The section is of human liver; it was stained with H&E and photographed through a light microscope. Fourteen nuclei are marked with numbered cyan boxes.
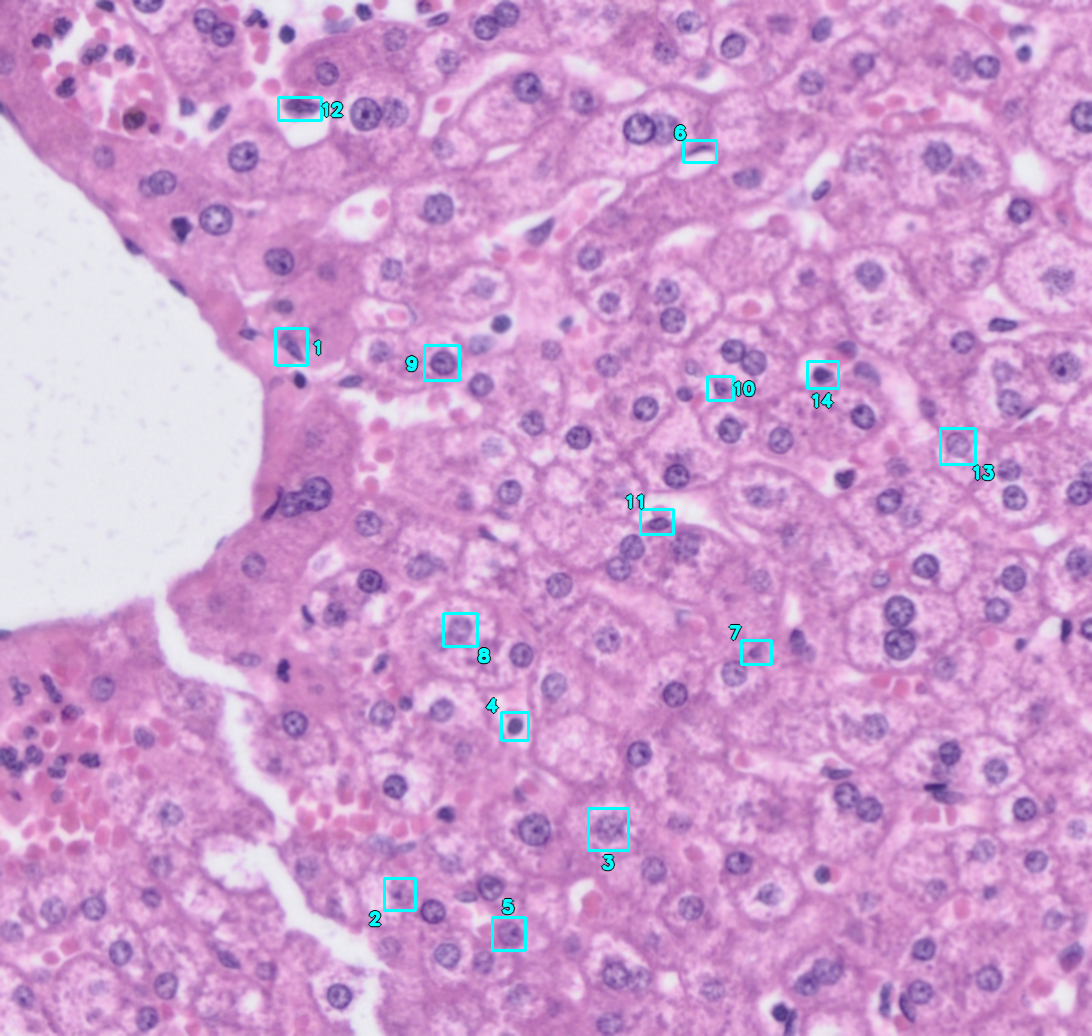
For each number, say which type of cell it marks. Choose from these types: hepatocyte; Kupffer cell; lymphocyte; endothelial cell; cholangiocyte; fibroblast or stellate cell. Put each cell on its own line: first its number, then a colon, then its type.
1: fibroblast or stellate cell
2: hepatocyte
3: hepatocyte
4: lymphocyte
5: hepatocyte
6: endothelial cell
7: fibroblast or stellate cell
8: hepatocyte
9: hepatocyte
10: fibroblast or stellate cell
11: Kupffer cell
12: Kupffer cell
13: hepatocyte
14: lymphocyte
